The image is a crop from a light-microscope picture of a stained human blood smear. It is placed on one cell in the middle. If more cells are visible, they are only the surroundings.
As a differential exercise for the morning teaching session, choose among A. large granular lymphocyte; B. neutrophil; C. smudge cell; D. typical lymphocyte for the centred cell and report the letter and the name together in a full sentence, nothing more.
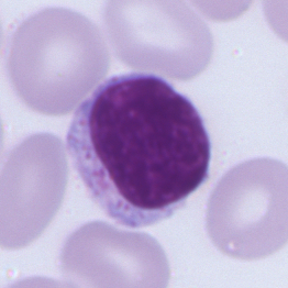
The cell at the centre, correctly named in option A, is a large granular lymphocyte.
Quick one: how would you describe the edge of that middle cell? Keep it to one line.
Nothing juts out from the margin, which is smooth throughout.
